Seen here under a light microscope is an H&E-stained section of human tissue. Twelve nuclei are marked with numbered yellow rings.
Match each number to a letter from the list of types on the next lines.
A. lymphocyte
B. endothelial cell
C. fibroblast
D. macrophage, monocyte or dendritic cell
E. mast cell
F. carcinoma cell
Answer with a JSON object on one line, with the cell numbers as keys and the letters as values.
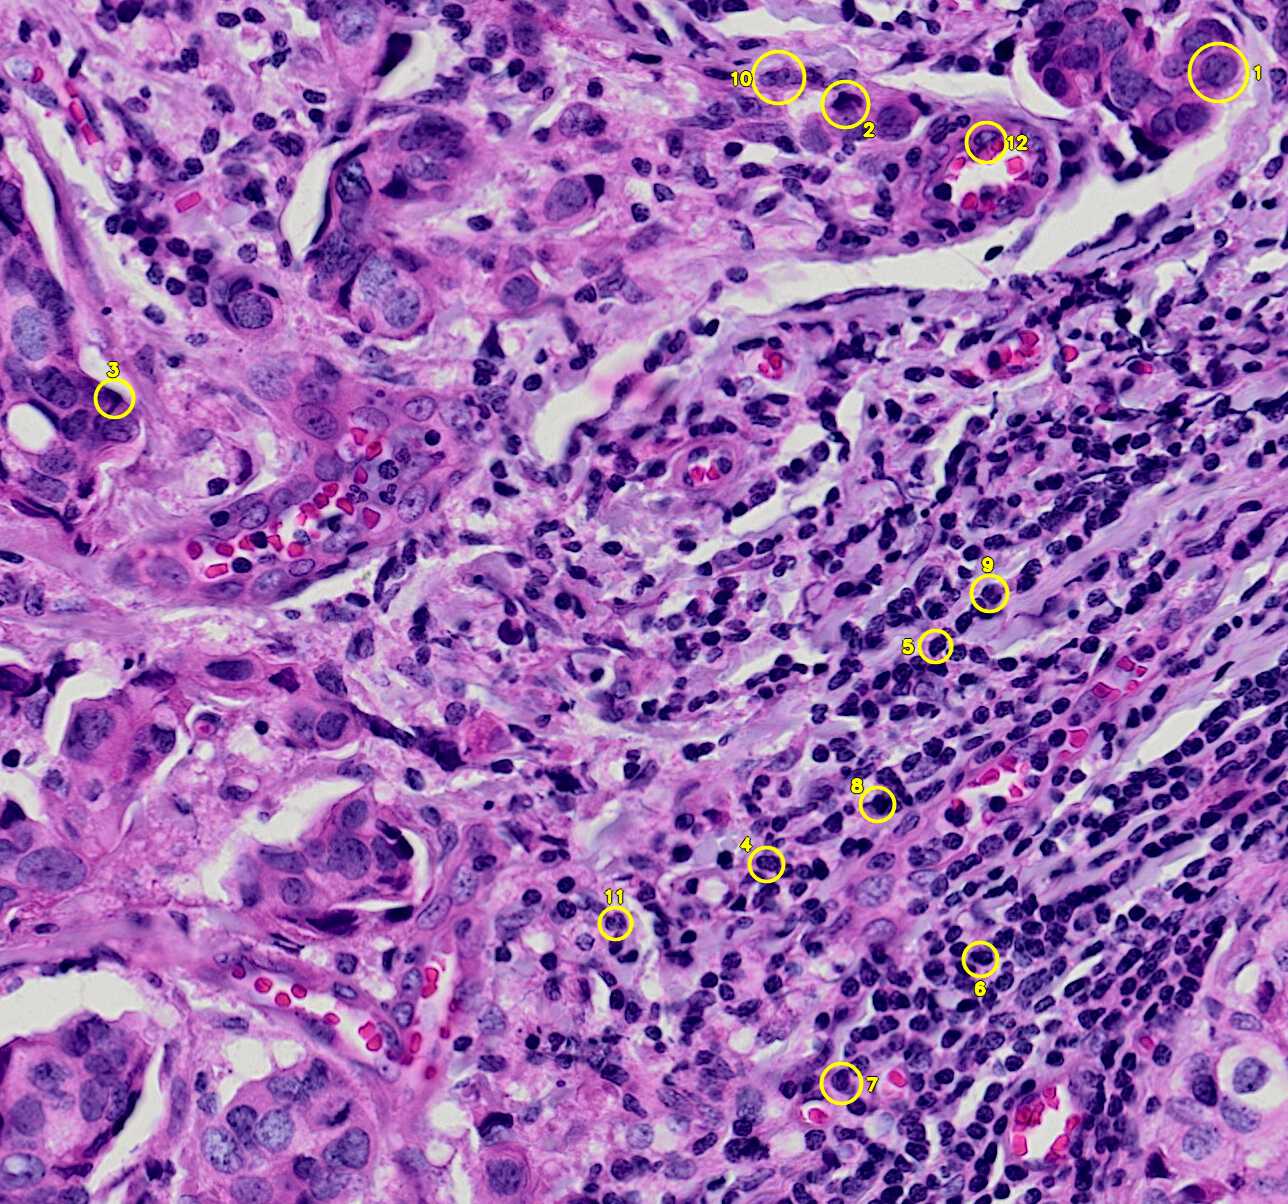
{"1": "F", "2": "F", "3": "F", "4": "A", "5": "A", "6": "A", "7": "A", "8": "A", "9": "A", "10": "D", "11": "A", "12": "B"}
